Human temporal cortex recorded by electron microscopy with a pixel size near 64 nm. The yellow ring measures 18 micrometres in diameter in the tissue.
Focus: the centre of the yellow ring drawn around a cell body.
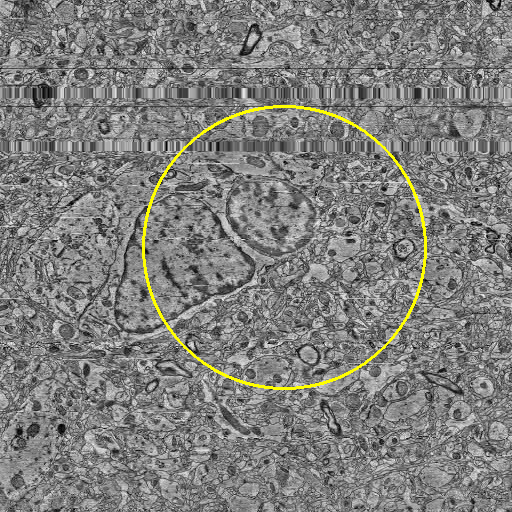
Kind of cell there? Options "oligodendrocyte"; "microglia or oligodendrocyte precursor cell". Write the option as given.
oligodendrocyte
